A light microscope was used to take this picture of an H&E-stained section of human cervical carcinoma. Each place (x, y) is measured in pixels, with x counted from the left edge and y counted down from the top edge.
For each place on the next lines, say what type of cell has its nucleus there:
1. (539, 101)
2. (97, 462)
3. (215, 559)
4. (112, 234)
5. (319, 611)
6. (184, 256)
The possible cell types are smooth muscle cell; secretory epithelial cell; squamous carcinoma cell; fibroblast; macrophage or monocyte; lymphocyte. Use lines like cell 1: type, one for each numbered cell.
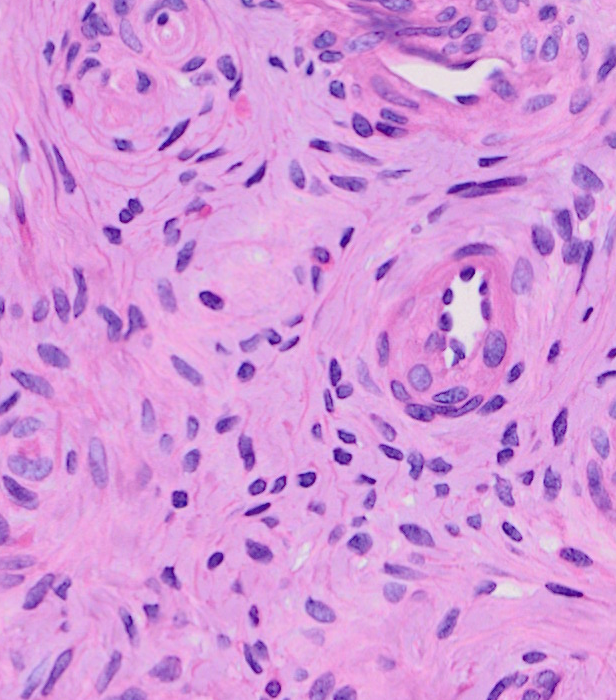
cell 1: smooth muscle cell
cell 2: smooth muscle cell
cell 3: fibroblast
cell 4: fibroblast
cell 5: fibroblast
cell 6: fibroblast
